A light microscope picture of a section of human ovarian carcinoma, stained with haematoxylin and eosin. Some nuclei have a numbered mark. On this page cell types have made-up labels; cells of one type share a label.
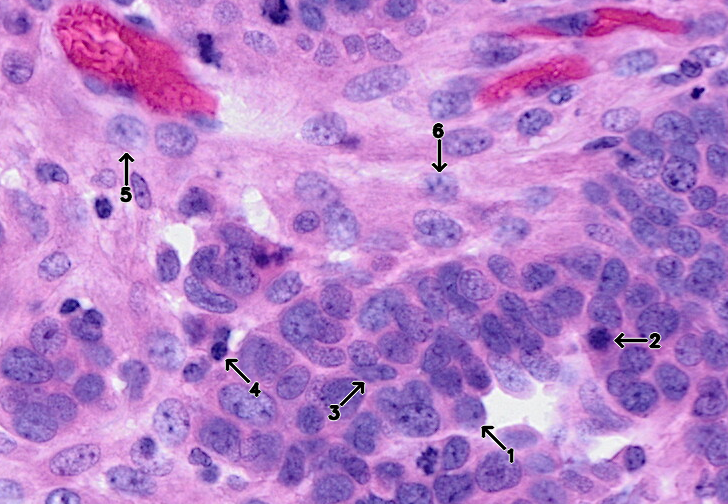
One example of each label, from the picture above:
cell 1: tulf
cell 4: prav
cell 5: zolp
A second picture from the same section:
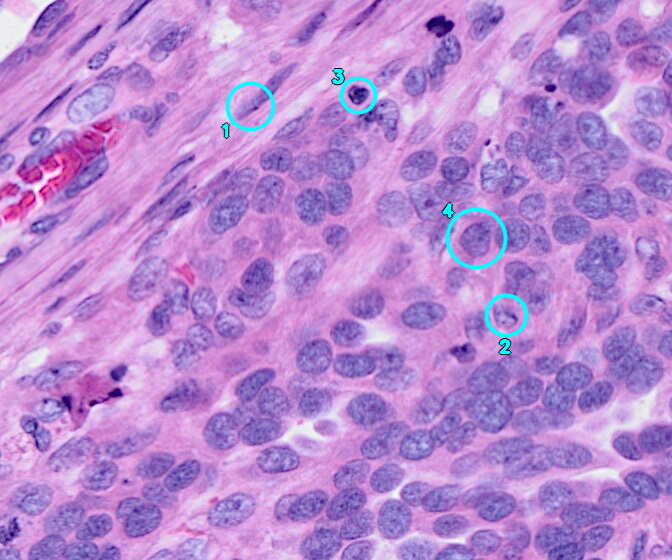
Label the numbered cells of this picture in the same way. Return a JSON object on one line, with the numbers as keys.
{"1": "zolp", "2": "zolp", "3": "prav", "4": "tulf"}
